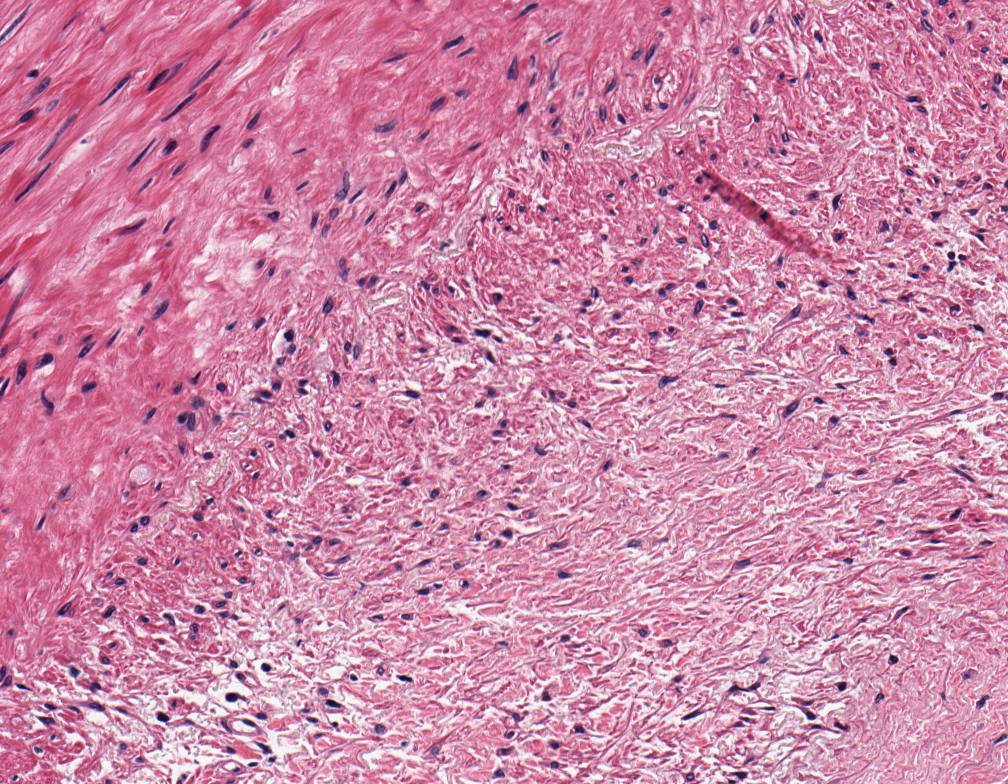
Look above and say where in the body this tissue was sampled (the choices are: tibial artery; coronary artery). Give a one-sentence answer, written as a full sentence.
Tissue on this slide was obtained from the coronary artery.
